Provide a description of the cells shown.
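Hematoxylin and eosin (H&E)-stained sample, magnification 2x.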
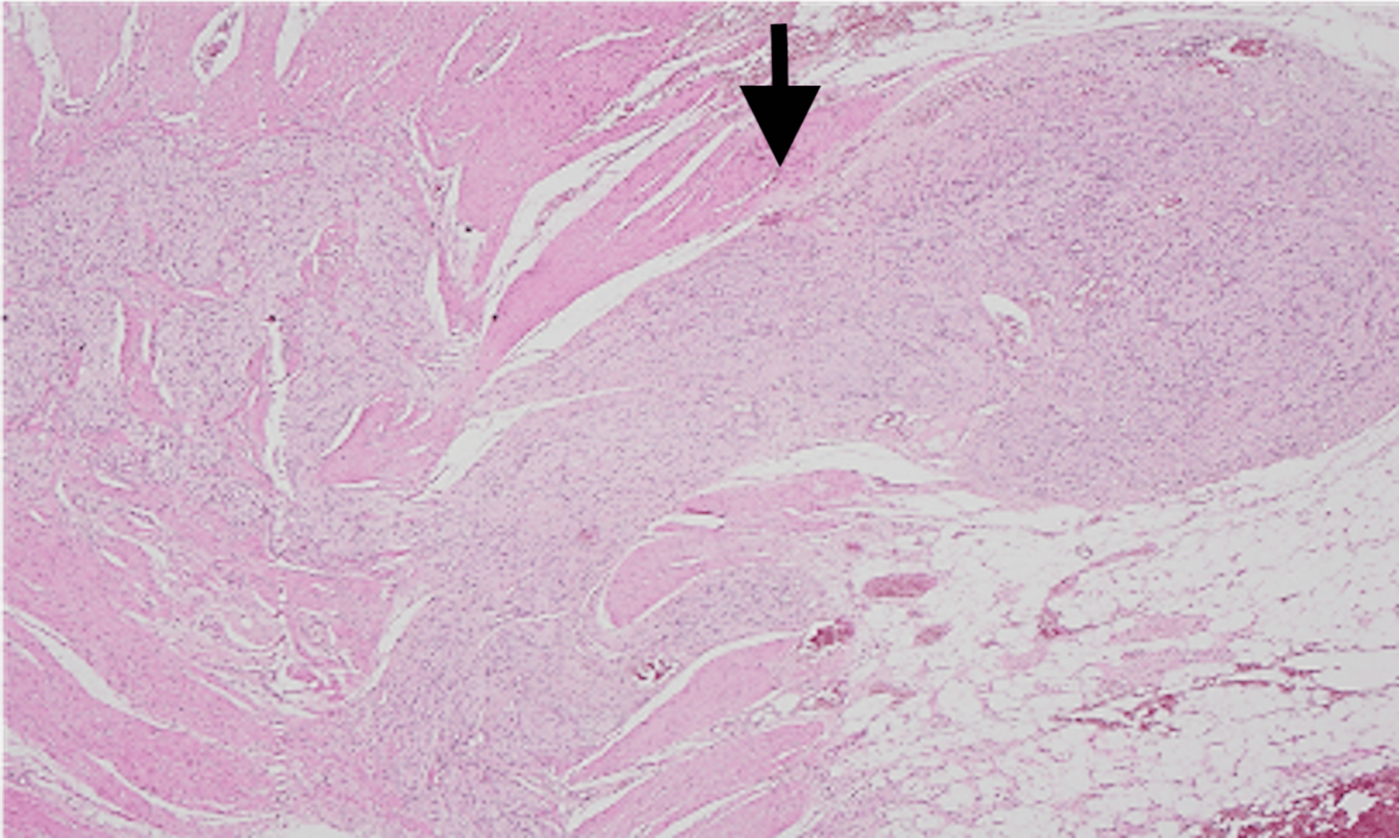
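At low power, this section of muscularis propria shows deep pink bundles of smooth muscle cut at various angles. Between these bundles lie large, paler pink, finely fibrillar and cellular bundles of enlarged nerve fibers. Loose, pale, vacuolated connective tissue and a few blood-filled vessels are seen toward the lower right.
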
